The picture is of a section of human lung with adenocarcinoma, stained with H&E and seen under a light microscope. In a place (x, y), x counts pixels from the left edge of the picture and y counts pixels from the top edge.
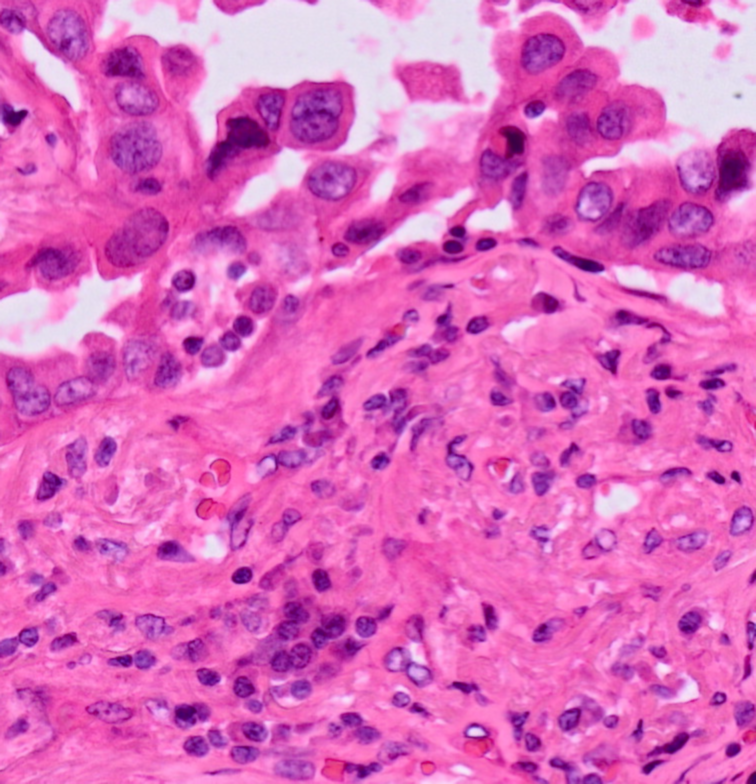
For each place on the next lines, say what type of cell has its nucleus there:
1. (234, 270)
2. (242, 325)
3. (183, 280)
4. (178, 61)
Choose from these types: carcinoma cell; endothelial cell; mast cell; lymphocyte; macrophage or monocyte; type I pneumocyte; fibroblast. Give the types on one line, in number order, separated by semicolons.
lymphocyte; lymphocyte; lymphocyte; carcinoma cell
